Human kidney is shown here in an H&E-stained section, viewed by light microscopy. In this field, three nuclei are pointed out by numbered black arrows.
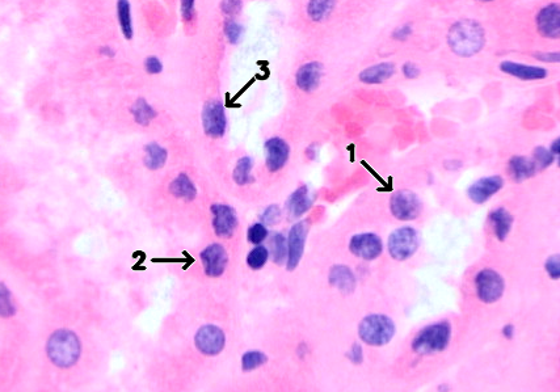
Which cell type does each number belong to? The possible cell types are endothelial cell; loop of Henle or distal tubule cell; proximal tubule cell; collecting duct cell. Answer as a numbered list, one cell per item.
1. loop of Henle or distal tubule cell
2. proximal tubule cell
3. loop of Henle or distal tubule cell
